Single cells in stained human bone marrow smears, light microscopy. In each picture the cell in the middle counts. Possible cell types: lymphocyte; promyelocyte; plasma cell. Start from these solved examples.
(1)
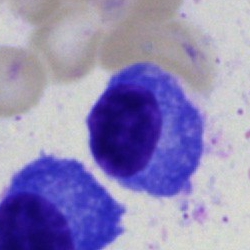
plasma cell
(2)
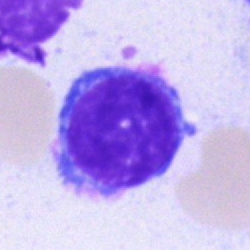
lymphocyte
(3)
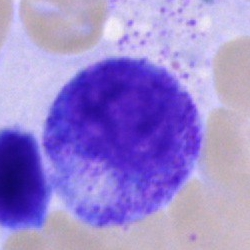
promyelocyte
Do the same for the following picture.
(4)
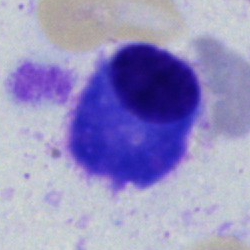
plasma cell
